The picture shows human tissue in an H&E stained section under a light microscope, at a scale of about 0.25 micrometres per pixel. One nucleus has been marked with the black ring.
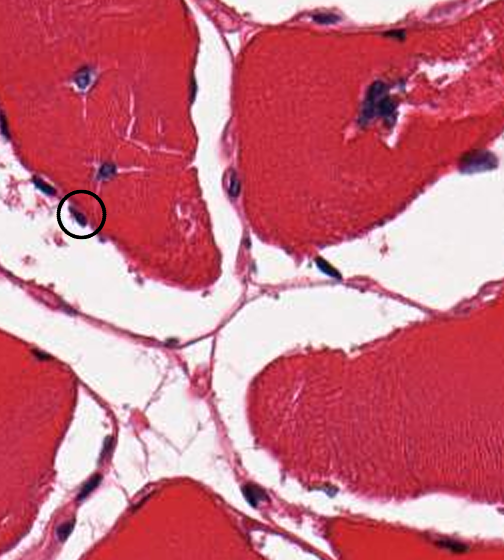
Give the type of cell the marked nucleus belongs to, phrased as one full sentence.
A nucleus belonging to a skeletal muscle fibre is the one marked.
